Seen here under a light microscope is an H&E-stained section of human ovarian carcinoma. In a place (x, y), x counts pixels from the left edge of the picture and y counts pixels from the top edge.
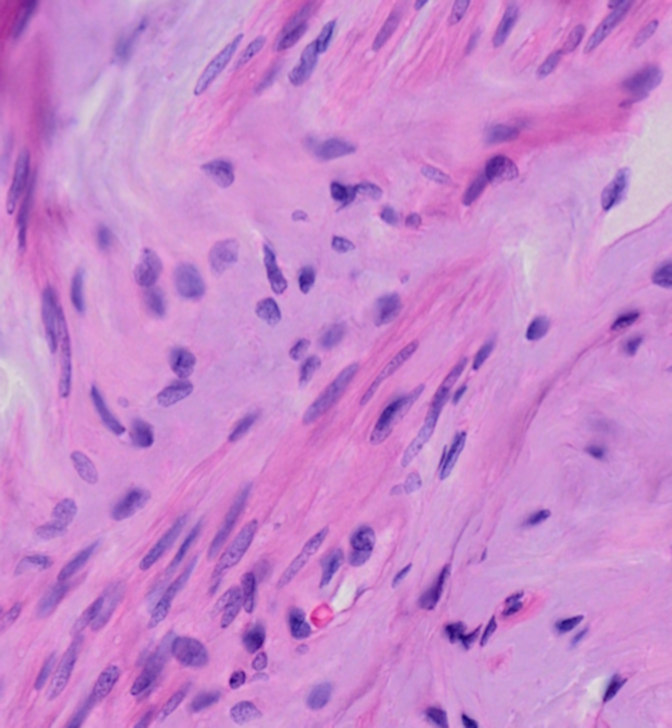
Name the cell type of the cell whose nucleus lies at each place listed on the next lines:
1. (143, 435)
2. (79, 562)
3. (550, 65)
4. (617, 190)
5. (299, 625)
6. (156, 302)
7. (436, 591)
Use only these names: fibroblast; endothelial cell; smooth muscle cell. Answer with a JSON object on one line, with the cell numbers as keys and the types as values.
{"1": "fibroblast", "2": "smooth muscle cell", "3": "smooth muscle cell", "4": "endothelial cell", "5": "endothelial cell", "6": "fibroblast", "7": "fibroblast"}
